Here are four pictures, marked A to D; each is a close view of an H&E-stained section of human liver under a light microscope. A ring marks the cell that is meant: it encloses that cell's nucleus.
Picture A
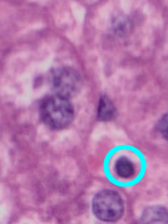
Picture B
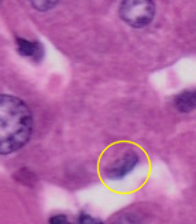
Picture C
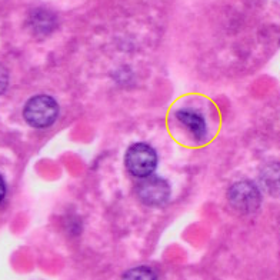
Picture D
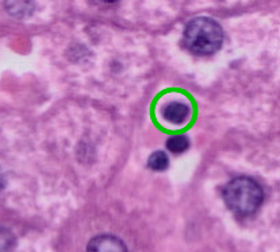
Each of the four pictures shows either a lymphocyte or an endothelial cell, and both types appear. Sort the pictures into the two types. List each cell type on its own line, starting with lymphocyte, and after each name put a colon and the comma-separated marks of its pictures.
lymphocyte: A, D
endothelial cell: B, C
